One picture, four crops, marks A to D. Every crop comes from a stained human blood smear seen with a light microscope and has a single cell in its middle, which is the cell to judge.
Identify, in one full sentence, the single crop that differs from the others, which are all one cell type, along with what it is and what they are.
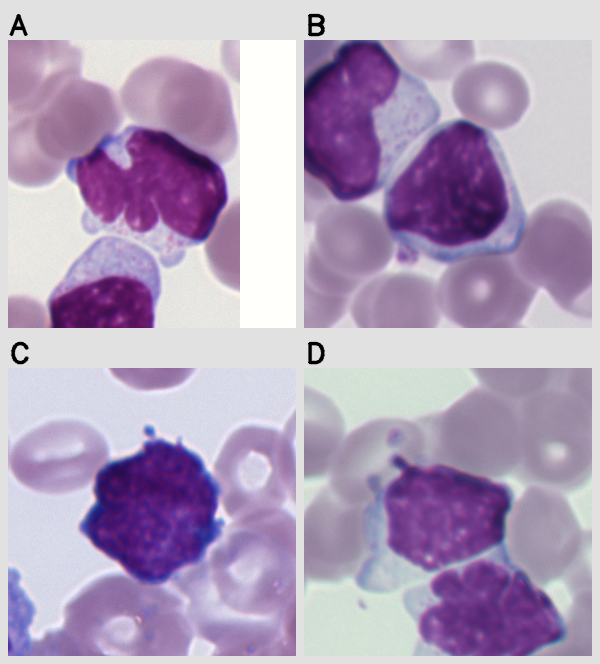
All of the other crops show large granular lymphocytes, while crop C shows a myeloblast instead.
